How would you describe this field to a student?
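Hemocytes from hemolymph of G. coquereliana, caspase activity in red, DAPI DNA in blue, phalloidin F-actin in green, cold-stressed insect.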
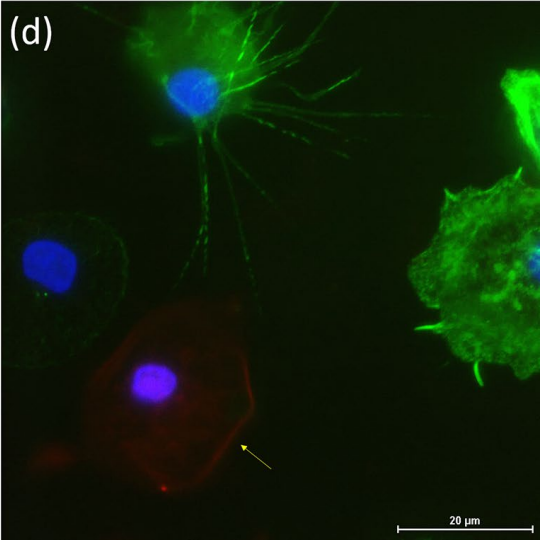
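At the top a cell with a round blue nucleus sends out many long, thin green processes radiating from its body. At the right edge a large spread cell has a ragged green margin with short spiky projections. At left a rounded cell shows only a faint green outline around a blue nucleus.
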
